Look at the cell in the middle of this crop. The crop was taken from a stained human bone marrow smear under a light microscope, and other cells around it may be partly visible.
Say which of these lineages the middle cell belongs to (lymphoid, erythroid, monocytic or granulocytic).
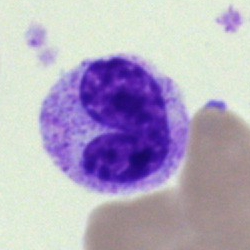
granulocytic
